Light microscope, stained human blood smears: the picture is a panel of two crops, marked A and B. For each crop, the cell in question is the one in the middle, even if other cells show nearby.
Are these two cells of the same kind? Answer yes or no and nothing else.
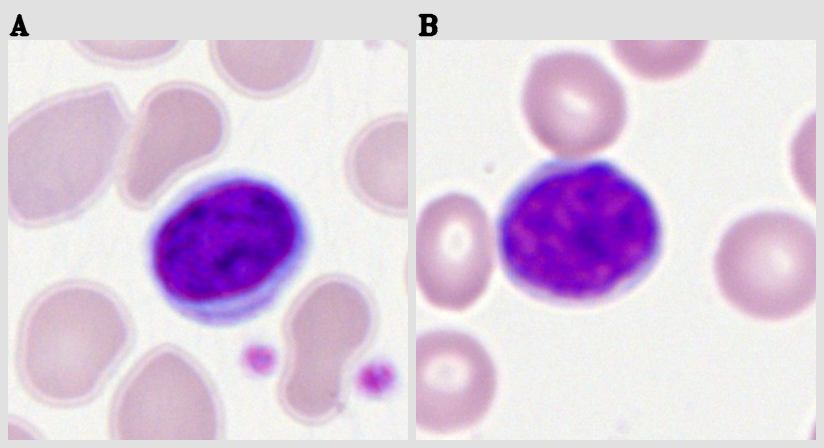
yes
